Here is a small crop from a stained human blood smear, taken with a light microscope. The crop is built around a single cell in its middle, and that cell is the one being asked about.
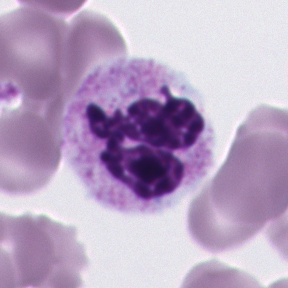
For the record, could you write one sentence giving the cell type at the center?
The cell of interest, in the center, is a segmented neutrophil.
